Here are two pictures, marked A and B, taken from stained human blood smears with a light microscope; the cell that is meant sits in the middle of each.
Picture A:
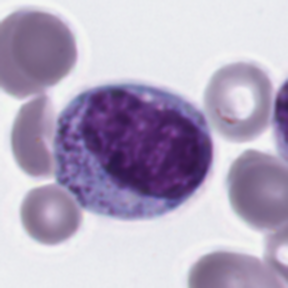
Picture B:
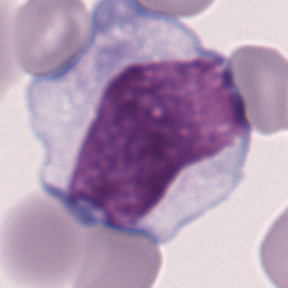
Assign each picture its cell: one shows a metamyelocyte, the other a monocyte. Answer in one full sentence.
It is picture A that shows a metamyelocyte, and picture B that shows a monocyte.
